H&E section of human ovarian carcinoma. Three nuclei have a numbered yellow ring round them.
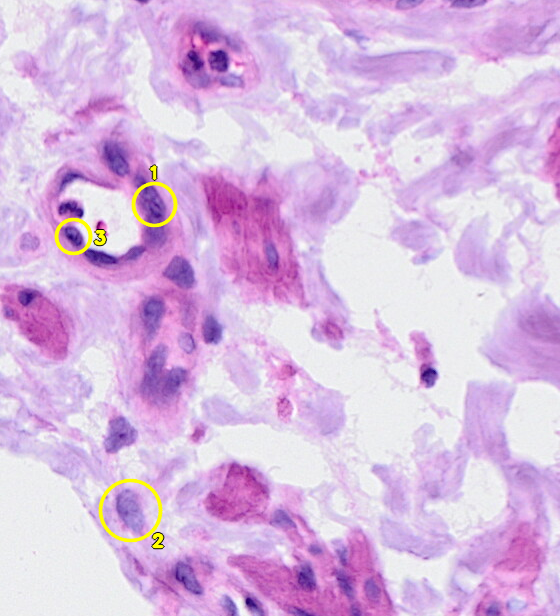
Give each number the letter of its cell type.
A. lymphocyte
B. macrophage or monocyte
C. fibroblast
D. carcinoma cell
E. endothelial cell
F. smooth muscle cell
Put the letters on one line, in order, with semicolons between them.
E; C; E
